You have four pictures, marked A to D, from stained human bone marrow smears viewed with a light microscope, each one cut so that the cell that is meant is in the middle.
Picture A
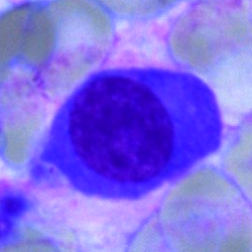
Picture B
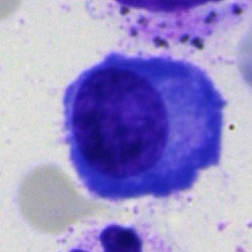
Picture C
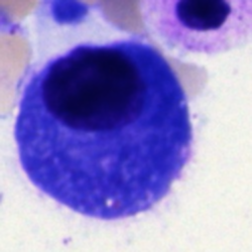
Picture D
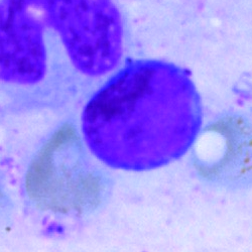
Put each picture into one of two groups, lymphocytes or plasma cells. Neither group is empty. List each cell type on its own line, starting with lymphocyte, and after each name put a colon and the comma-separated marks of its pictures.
lymphocyte: D
plasma cell: A, B, C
